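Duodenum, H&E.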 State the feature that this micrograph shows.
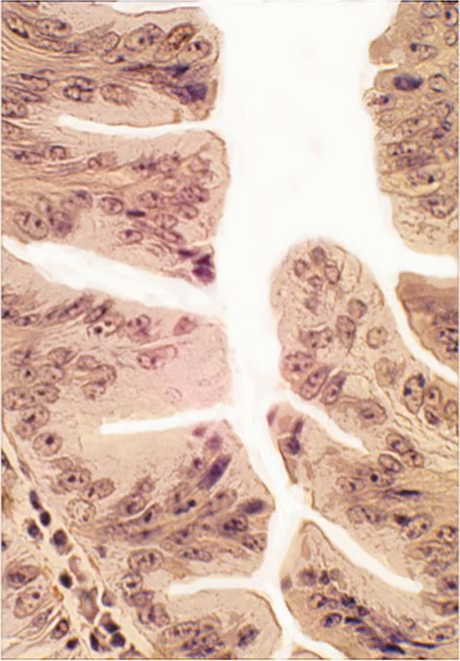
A: Serrated configurations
